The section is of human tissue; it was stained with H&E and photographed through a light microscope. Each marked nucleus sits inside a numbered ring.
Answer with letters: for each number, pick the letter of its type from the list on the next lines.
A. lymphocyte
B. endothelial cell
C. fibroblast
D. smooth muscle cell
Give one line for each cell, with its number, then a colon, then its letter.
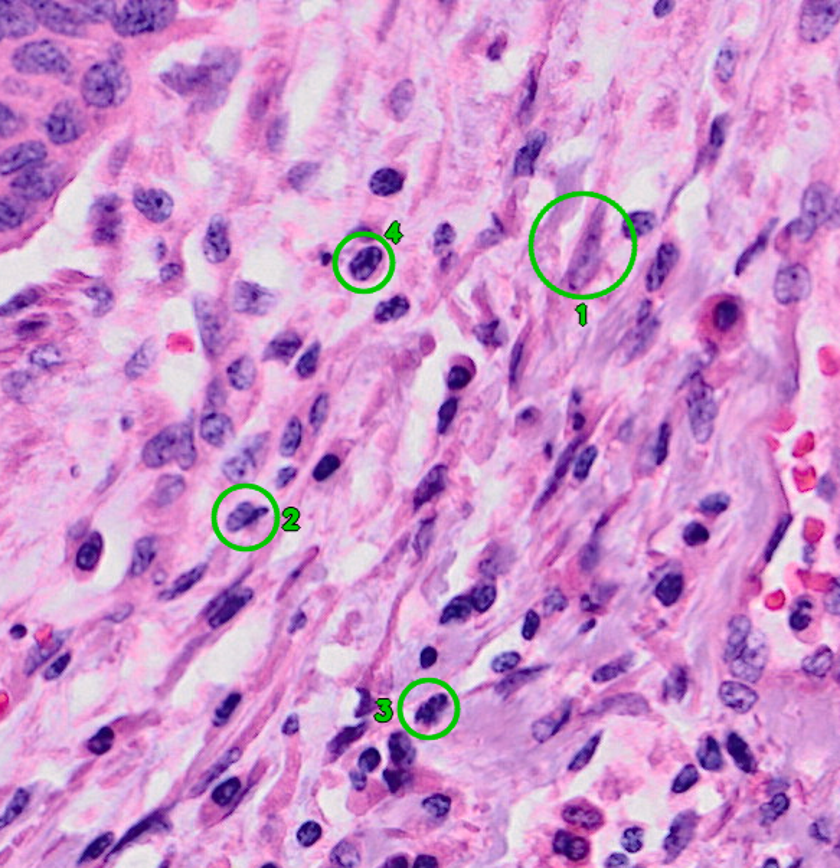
1: C
2: A
3: A
4: A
